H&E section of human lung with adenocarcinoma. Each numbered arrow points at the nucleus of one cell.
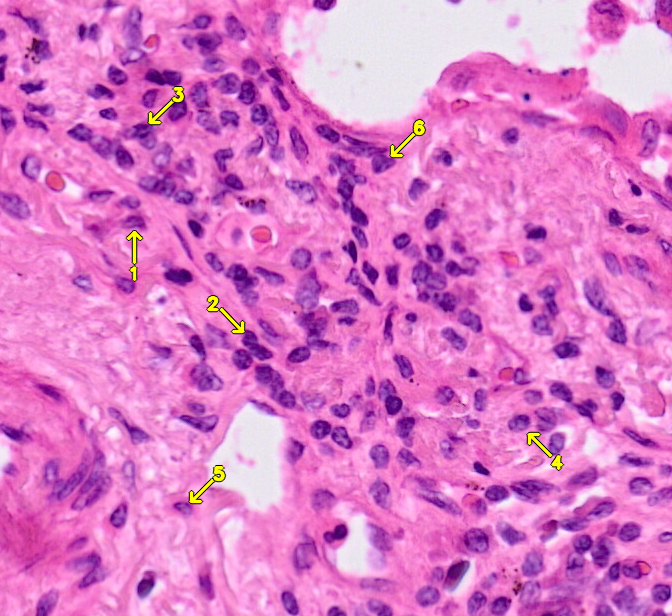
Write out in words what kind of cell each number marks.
Cells 1 and 3 are plasma cells. Cells 2, 4 and 6 are lymphocytes. Cell 5 is a mast cell.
